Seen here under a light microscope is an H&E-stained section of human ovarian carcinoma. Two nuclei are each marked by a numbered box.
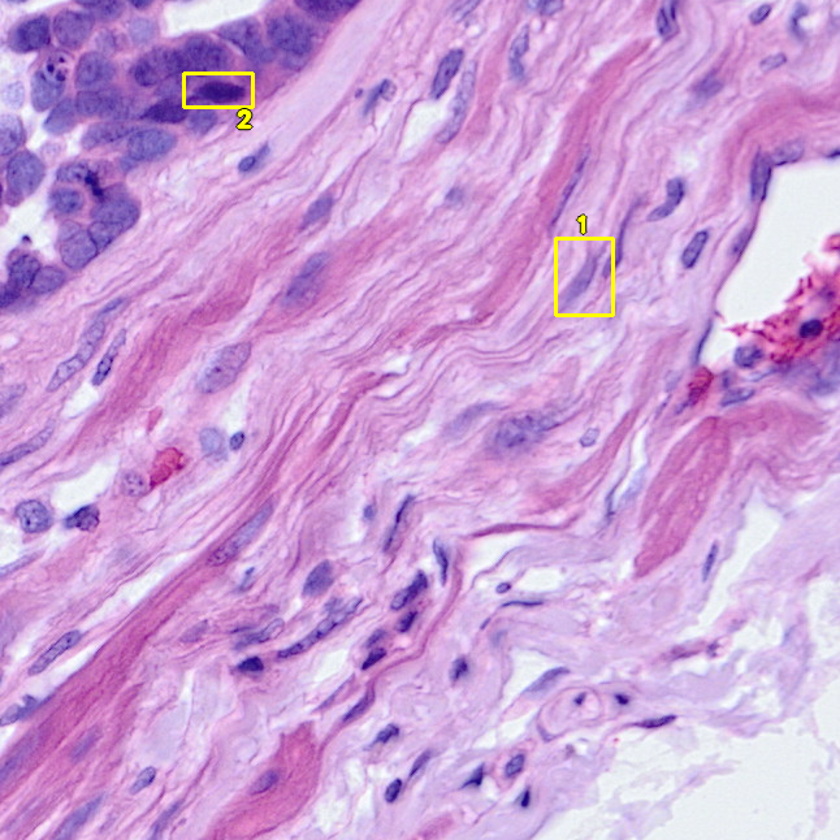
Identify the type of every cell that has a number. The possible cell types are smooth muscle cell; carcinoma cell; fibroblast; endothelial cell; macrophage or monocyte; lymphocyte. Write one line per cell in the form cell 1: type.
cell 1: fibroblast
cell 2: carcinoma cell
